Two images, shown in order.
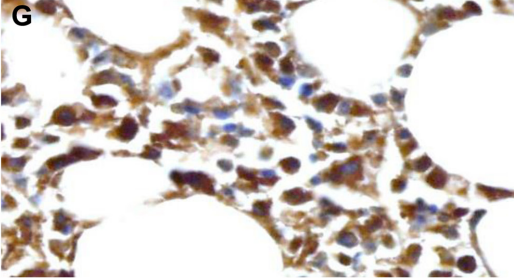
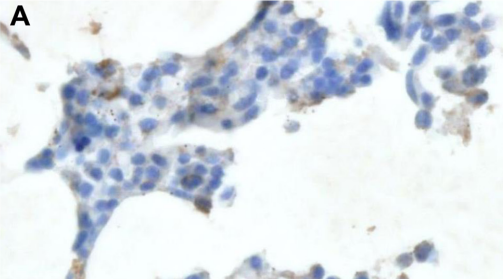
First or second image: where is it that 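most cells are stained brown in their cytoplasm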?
The first image.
